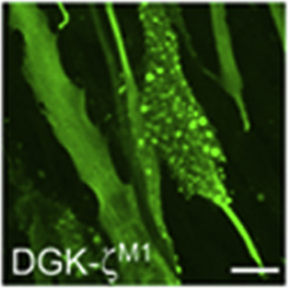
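The field shows several elongated muscle tubes, stained green, lying side by side at slightly different angles. Most tubes are smoothly and evenly stained along their length. One cell in the centre stands out: its widened body is covered with many small, bright, round bulges of varying size that give it a bubbly look. This cell tapers into a long thin bright extension toward the lower right.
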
